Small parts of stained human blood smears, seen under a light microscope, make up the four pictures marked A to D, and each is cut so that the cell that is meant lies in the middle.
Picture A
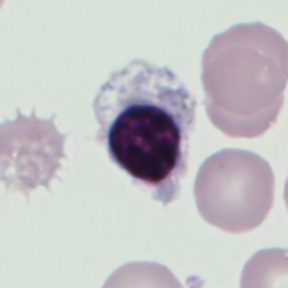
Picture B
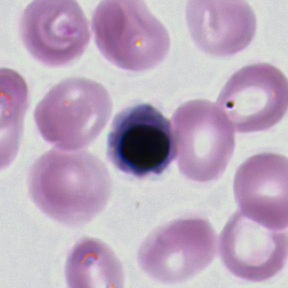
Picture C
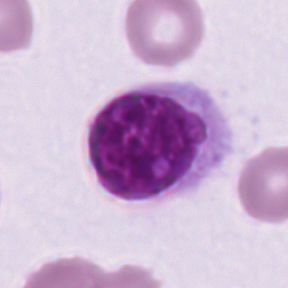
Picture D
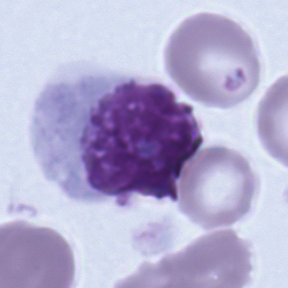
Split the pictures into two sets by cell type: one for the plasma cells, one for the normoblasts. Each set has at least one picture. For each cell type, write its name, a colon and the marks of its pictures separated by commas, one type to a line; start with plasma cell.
plasma cell: C, D
normoblast: A, B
